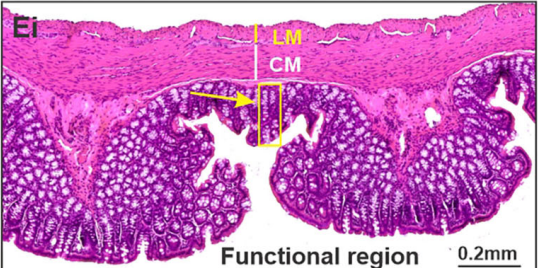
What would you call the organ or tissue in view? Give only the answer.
Colon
